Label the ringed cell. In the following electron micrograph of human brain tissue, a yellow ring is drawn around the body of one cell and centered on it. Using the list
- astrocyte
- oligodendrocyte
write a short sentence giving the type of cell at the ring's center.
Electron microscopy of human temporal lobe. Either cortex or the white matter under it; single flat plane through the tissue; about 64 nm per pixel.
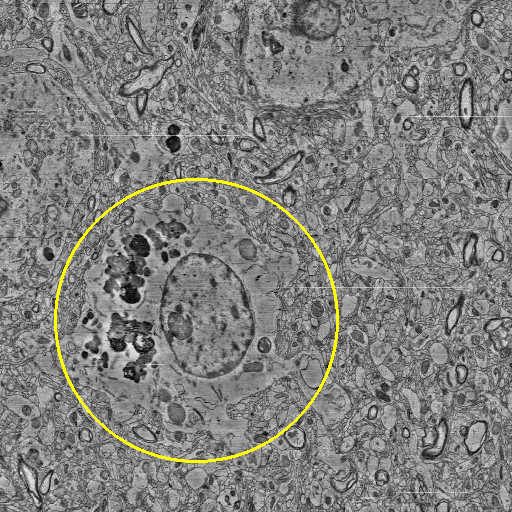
The cell body at the ring's center is that of an astrocyte.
